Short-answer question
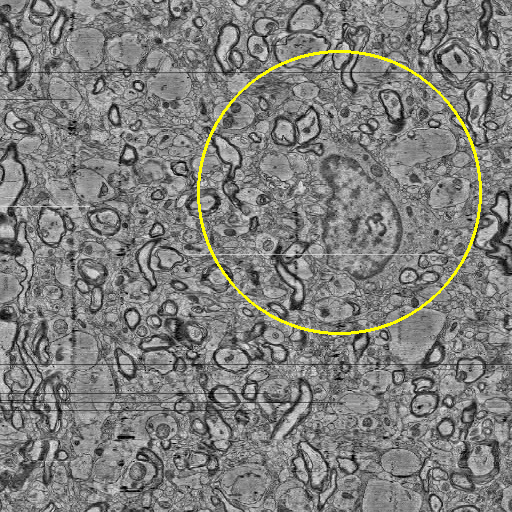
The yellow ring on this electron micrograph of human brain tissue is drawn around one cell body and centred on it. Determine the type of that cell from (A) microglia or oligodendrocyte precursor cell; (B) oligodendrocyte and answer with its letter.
B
